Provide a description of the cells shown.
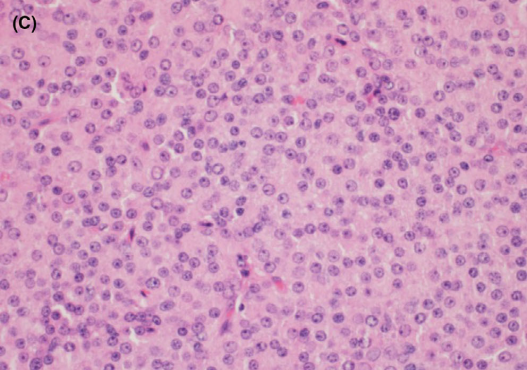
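A sheet of tumour cells of strikingly uniform look, packed closely with little stroma between them. The cells have moderate amounts of pink cytoplasm and round, central nuclei of much the same size, each with a small nucleolus, giving a monotonous picture with only a few thin capillaries running through.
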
